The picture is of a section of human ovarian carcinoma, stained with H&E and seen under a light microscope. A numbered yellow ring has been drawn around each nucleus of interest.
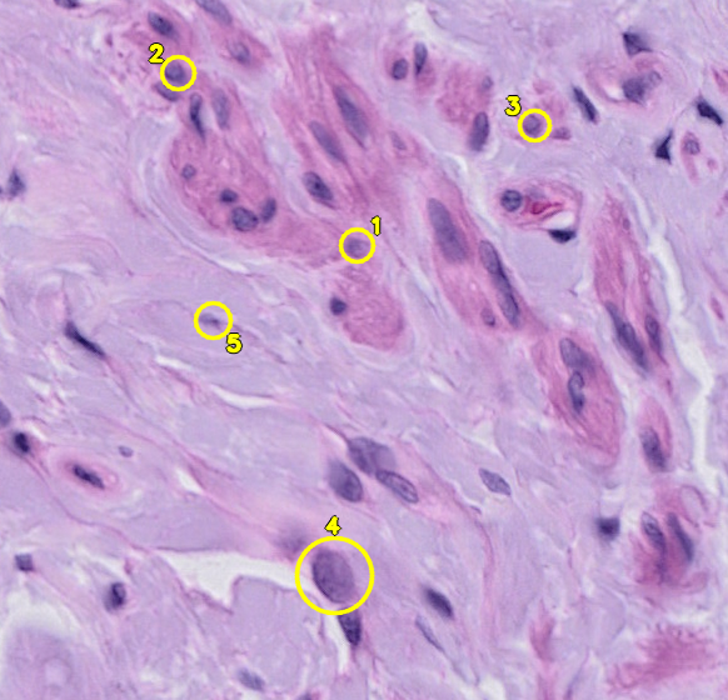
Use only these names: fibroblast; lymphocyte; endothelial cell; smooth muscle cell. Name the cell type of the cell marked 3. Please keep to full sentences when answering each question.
The mark numbered 3 indicates the nucleus of a smooth muscle cell.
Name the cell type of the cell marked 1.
The marked nucleus 1 is that of a smooth muscle cell.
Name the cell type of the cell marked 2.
The marked cell with the number 2 is recognised as a smooth muscle cell.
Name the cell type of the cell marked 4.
Corresponding to an endothelial cell is the cell labelled 4.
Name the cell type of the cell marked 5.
The cell carrying label 5 is identified as a fibroblast.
